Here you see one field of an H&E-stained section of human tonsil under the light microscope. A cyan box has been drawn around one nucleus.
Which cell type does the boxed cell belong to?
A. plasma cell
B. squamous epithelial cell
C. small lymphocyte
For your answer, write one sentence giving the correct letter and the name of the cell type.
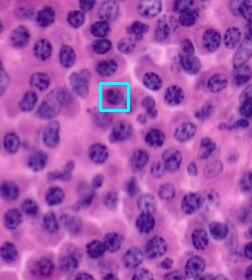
Since the boxed cell is a plasma cell, option A is correct.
